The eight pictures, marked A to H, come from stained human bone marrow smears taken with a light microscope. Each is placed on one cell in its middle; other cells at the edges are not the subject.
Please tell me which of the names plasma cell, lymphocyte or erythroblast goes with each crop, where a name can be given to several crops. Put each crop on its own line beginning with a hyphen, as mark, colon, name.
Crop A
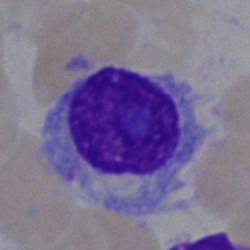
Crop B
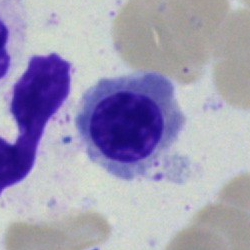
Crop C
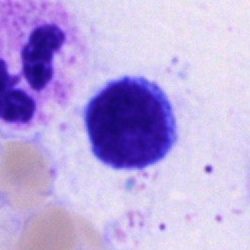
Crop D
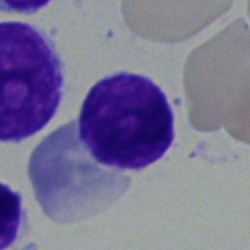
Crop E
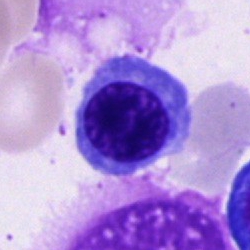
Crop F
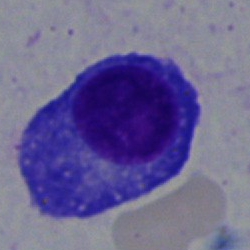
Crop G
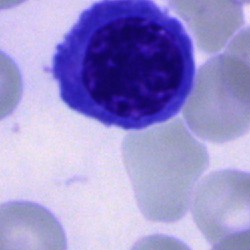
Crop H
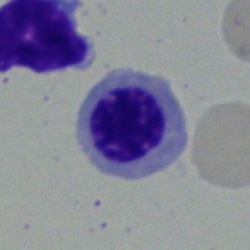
- A: plasma cell
- B: erythroblast
- C: lymphocyte
- D: lymphocyte
- E: erythroblast
- F: plasma cell
- G: erythroblast
- H: erythroblast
